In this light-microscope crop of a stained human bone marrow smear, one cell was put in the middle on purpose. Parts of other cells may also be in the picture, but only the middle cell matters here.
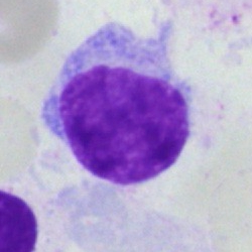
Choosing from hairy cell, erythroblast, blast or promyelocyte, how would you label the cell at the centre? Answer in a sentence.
The cell found in the middle of this crop is a hairy cell.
